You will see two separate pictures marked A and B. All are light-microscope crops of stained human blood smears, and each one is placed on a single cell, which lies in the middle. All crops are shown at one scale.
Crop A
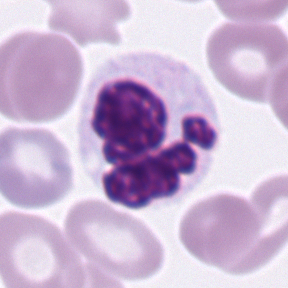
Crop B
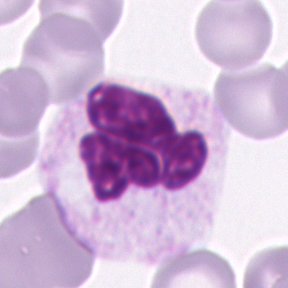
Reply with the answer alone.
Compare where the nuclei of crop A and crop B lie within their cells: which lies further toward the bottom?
A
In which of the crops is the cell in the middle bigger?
B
